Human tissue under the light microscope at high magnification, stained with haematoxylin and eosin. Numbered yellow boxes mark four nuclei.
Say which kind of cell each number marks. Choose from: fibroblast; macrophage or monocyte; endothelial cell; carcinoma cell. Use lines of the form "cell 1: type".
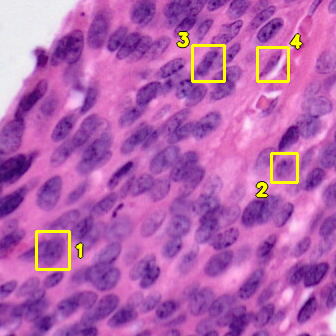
cell 1: carcinoma cell
cell 2: macrophage or monocyte
cell 3: carcinoma cell
cell 4: endothelial cell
